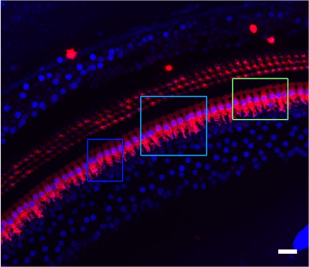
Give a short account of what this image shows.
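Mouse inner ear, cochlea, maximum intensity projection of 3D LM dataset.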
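The cells are elongated and lined up side by side like a comb, with their bodies forming a bright continuous band. Fainter red rows run parallel to it. A few isolated bright red dots lie in the dark background above the cell rows.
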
